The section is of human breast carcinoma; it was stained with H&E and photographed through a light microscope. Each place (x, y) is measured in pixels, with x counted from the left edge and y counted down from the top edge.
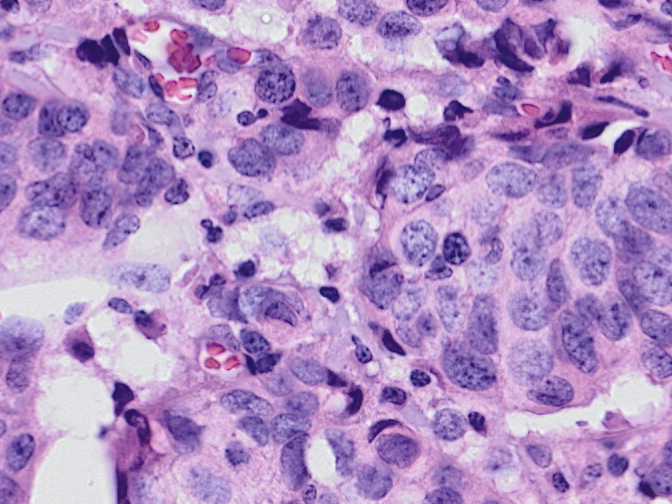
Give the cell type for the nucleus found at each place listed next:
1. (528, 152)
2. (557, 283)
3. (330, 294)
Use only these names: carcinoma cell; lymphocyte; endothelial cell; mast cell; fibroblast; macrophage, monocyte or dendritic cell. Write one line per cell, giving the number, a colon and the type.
1: carcinoma cell
2: carcinoma cell
3: lymphocyte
